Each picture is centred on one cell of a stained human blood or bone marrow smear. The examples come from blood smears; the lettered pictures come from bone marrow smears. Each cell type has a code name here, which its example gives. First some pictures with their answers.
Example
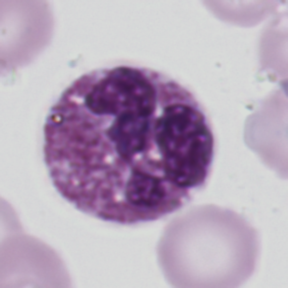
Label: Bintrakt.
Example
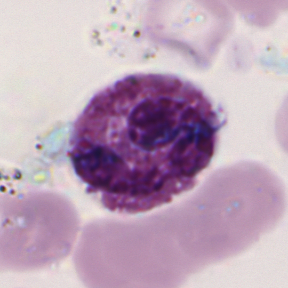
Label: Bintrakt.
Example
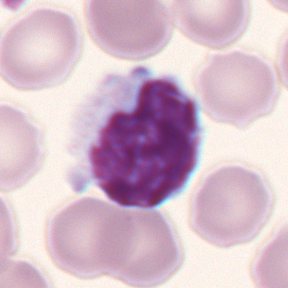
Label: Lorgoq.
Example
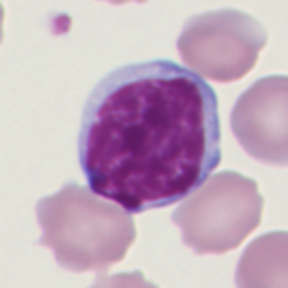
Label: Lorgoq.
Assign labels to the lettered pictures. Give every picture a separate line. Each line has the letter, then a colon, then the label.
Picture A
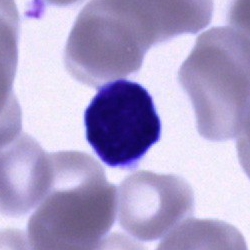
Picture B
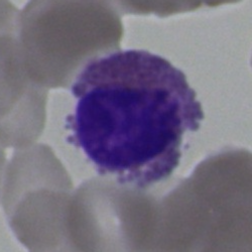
A: Lorgoq.
B: Bintrakt.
